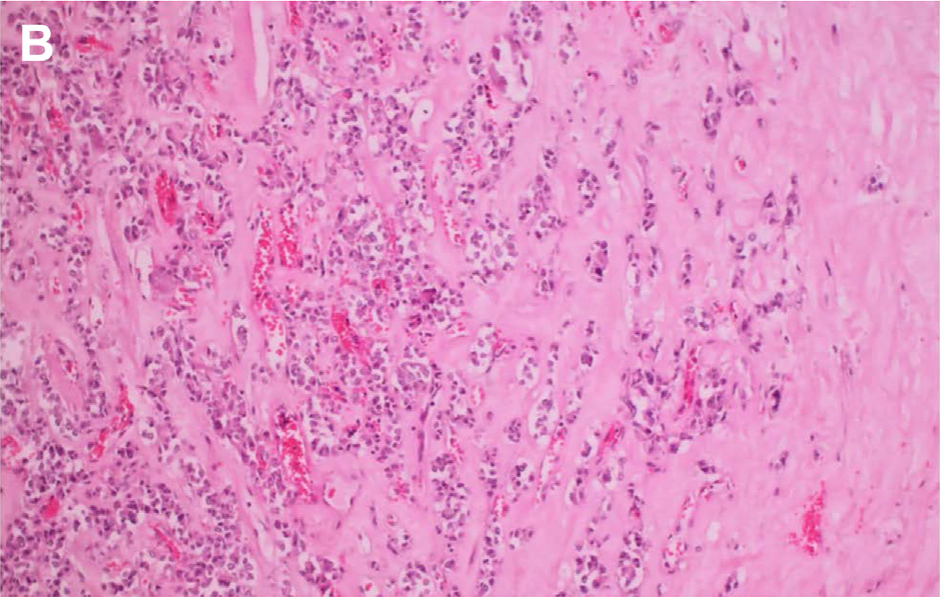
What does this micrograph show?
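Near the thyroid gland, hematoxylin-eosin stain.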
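This is a nodular lesion made up mostly of chief cells set in an abundant pink matrix. The cells are small and fairly uniform, with round, dark purple nuclei and scant pale cytoplasm. They gather in small nests, cords and strands with no orderly arrangement, and the cells are more crowded toward the left of the field. Between them lie broad bands of glassy, homogeneous pink hyalinized matrix, which on the right side takes up most of the field and holds only scattered cells. Many thin-walled vessels packed with red blood cells run among the cell nests. No fat cells are seen anywhere in the lesion.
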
